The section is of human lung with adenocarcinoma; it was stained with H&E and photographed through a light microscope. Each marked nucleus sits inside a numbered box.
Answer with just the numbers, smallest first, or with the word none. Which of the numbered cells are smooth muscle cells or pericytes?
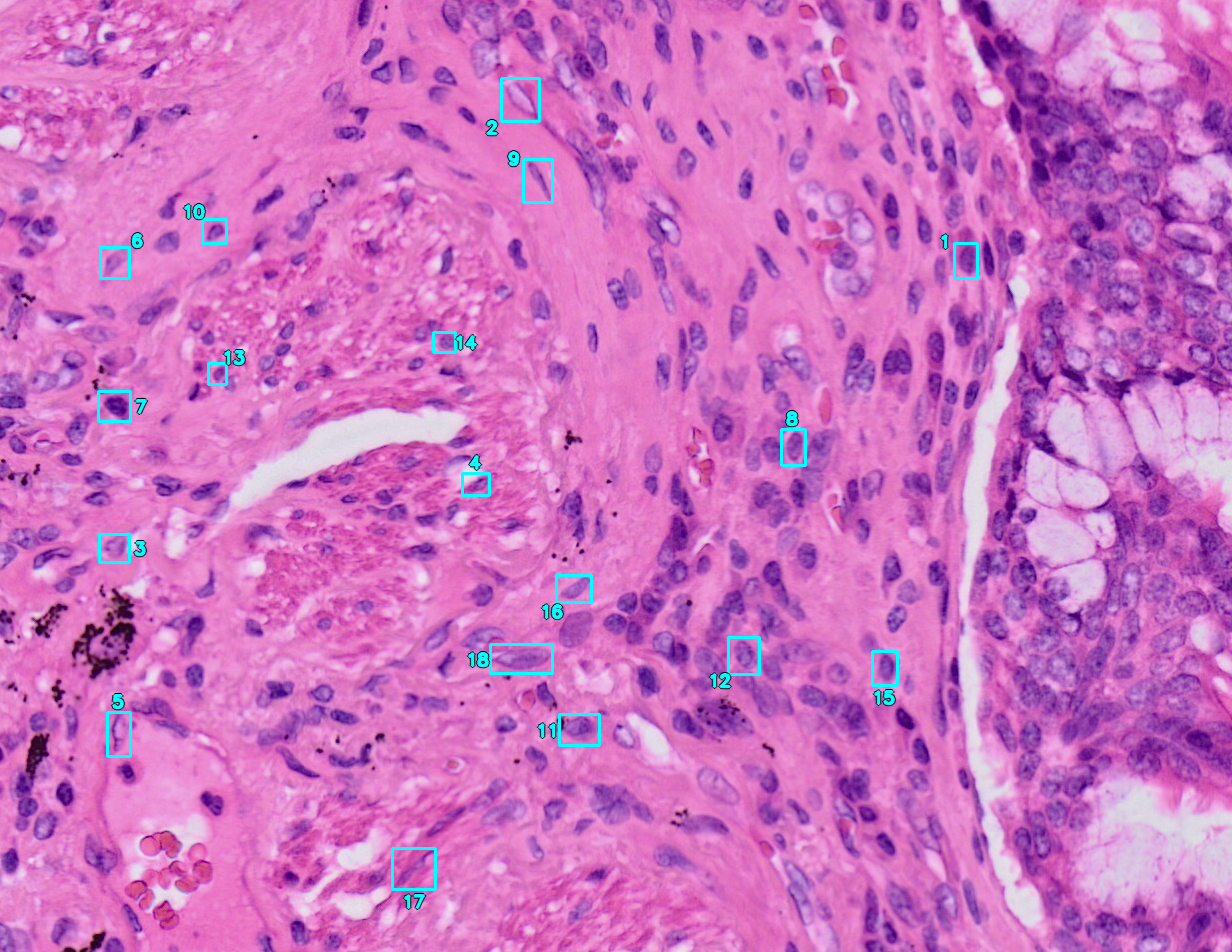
4, 13, 14, 17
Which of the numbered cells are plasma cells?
1, 7, 15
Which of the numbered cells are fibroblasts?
3, 6, 9, 11, 16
